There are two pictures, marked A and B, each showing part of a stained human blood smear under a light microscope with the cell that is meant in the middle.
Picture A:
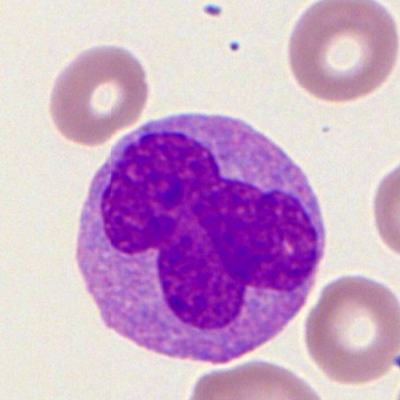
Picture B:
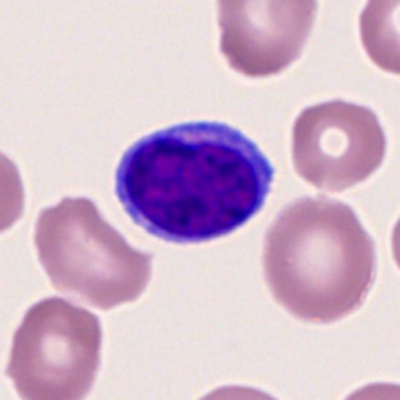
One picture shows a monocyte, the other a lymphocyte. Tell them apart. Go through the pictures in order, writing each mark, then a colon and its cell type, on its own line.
A: monocyte
B: lymphocyte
